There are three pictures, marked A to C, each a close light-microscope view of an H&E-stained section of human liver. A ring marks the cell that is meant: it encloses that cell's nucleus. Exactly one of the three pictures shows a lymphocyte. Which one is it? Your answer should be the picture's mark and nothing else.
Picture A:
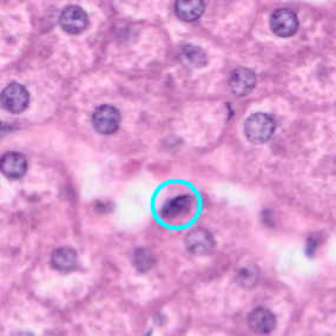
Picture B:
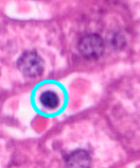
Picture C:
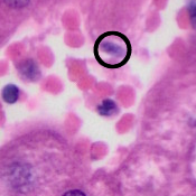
B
